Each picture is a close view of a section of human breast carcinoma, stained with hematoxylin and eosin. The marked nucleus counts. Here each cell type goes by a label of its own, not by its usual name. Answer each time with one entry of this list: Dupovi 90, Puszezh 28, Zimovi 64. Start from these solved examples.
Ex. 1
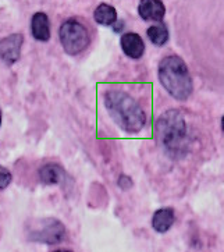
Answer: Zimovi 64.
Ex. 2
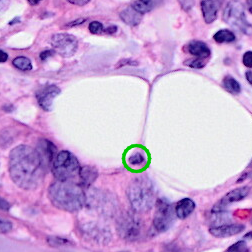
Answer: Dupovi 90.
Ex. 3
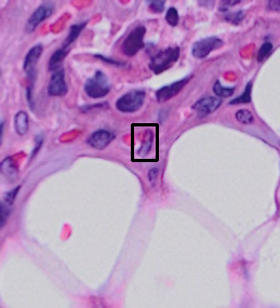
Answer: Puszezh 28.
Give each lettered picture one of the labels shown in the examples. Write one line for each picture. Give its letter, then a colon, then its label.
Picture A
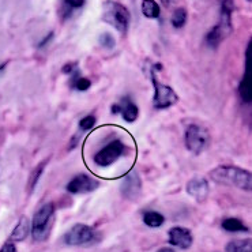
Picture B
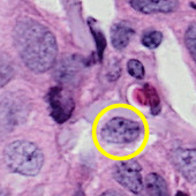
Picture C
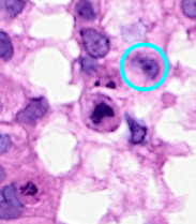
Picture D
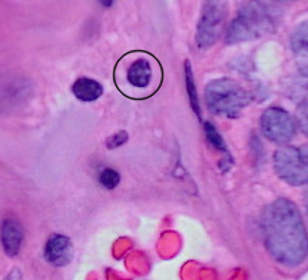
A: Dupovi 90.
B: Zimovi 64.
C: Zimovi 64.
D: Dupovi 90.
